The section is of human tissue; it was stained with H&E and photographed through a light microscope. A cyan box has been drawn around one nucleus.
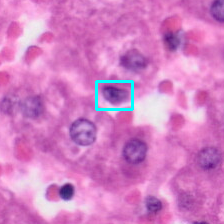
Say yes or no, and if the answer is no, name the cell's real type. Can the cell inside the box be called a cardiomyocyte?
No, it is a Kupffer cell.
